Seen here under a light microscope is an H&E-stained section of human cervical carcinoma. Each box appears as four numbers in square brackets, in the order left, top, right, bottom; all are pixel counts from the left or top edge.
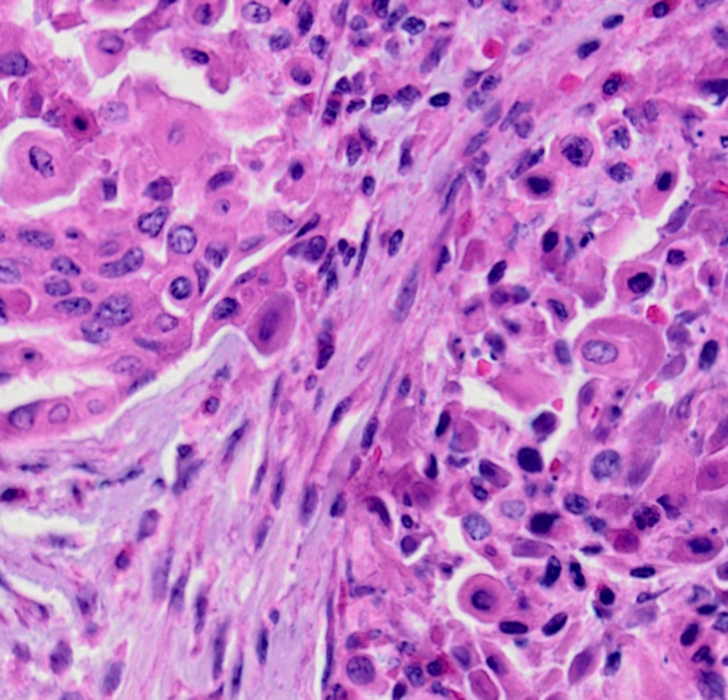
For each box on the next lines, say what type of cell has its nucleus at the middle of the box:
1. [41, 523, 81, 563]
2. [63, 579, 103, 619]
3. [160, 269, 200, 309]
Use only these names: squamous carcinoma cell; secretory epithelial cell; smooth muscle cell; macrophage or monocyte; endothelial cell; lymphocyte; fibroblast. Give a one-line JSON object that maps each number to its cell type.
{"1": "fibroblast", "2": "fibroblast", "3": "squamous carcinoma cell"}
